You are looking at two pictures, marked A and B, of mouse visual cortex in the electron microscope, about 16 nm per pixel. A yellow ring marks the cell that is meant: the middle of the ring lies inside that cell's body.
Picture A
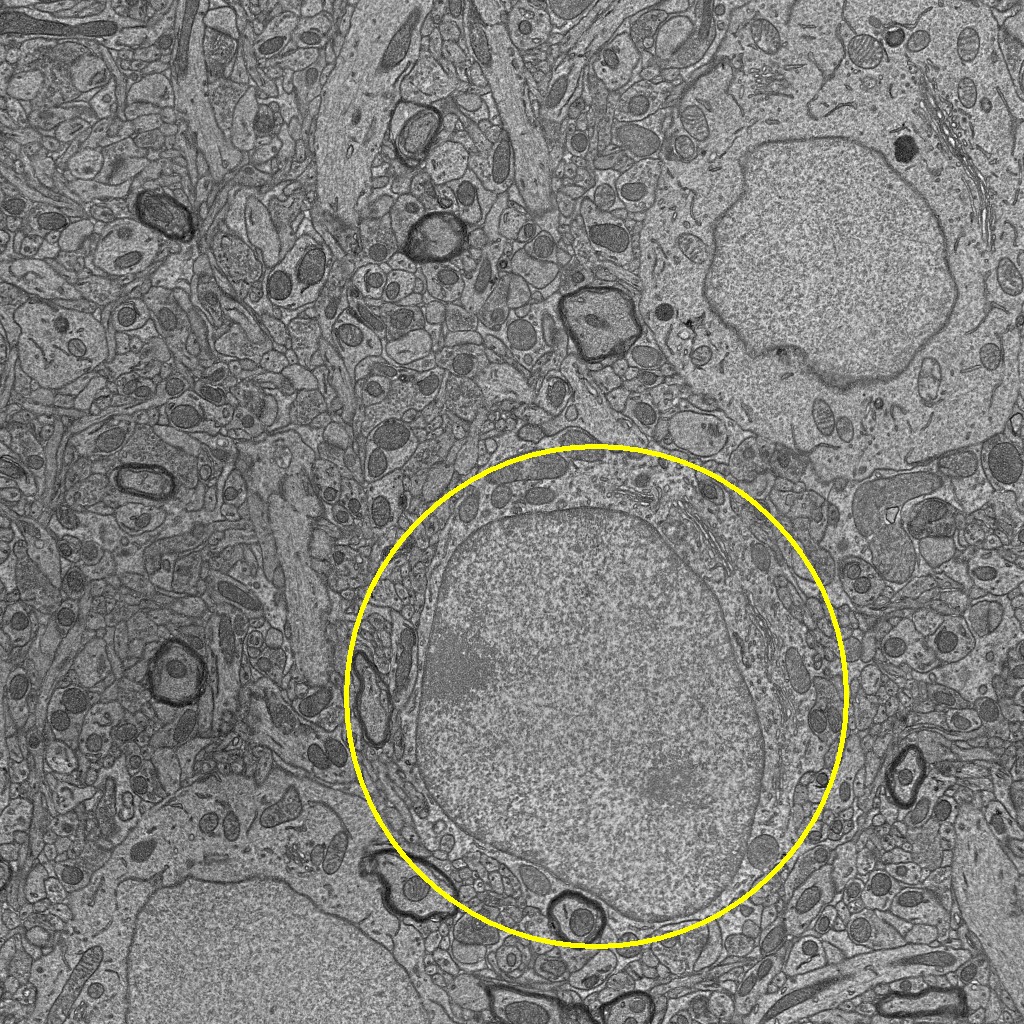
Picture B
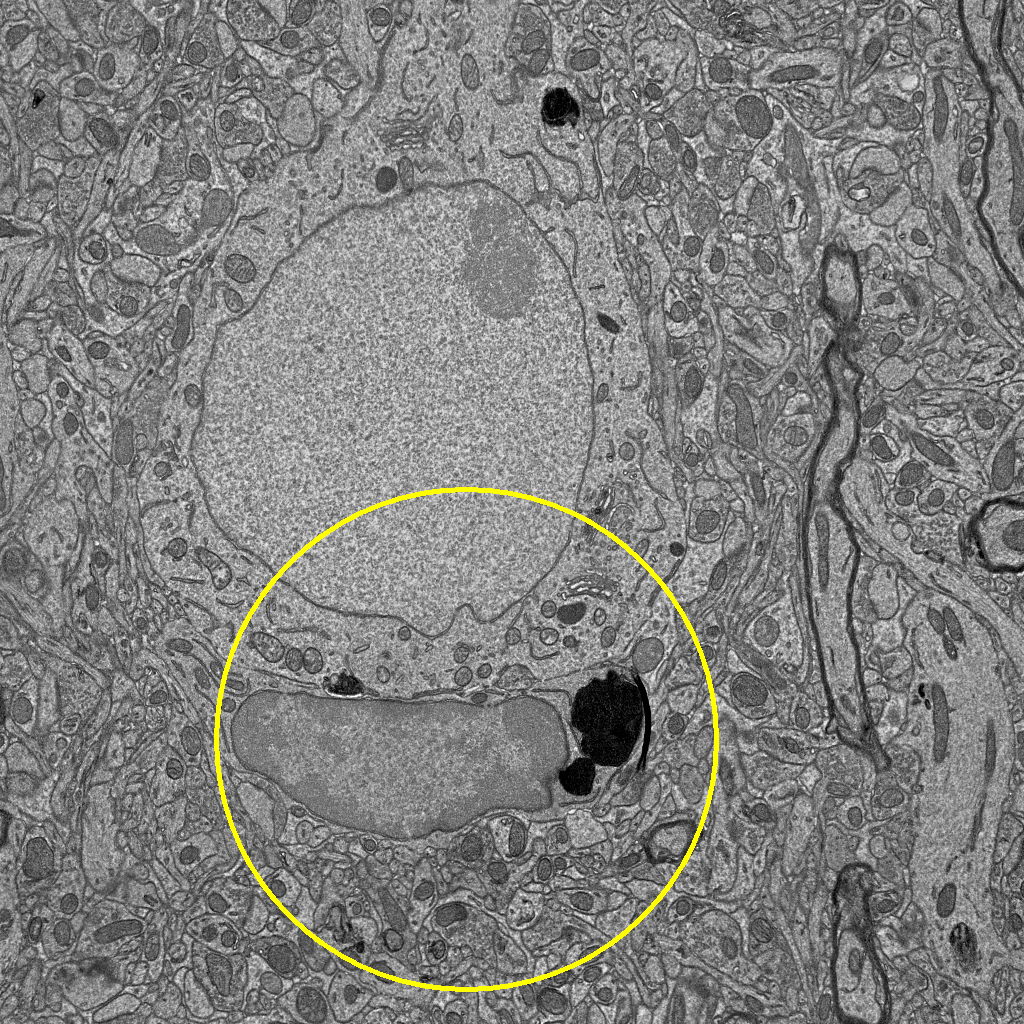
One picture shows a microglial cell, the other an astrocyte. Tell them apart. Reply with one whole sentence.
Picture B shows a microglial cell, while picture A shows an astrocyte.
